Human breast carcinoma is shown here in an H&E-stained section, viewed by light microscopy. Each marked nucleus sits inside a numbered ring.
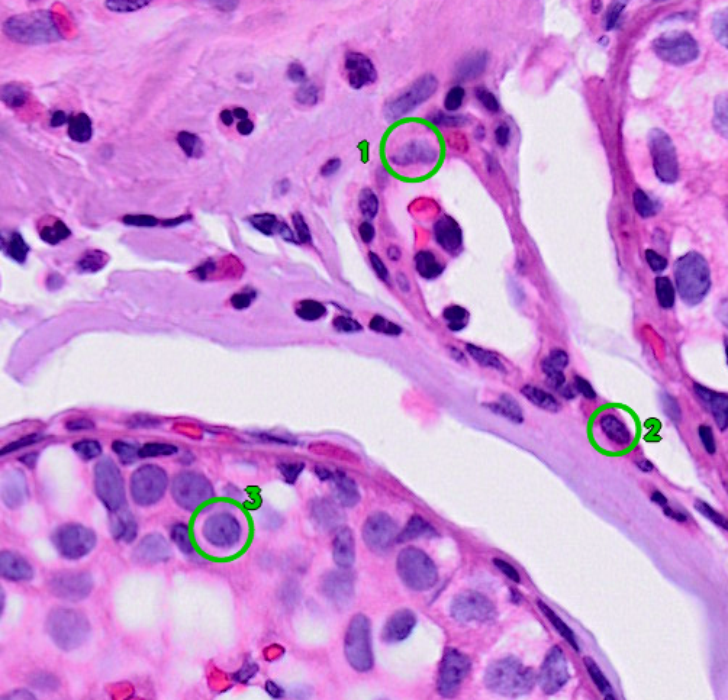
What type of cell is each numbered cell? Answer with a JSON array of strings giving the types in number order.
["endothelial cell", "mast cell", "carcinoma cell"]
